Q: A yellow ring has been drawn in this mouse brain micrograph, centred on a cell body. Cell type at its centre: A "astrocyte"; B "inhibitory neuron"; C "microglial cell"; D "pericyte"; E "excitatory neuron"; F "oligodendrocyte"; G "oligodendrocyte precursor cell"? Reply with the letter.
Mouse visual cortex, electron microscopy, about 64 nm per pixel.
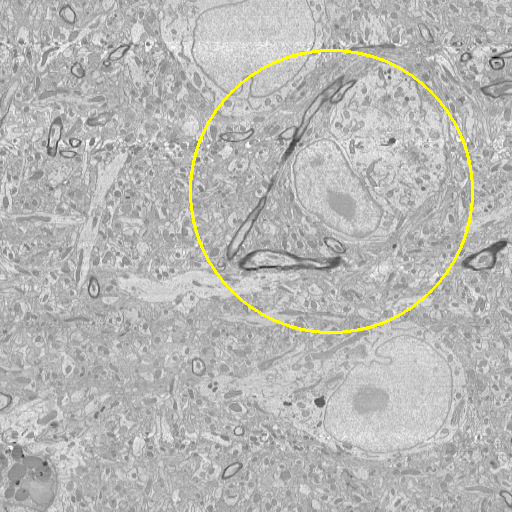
G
